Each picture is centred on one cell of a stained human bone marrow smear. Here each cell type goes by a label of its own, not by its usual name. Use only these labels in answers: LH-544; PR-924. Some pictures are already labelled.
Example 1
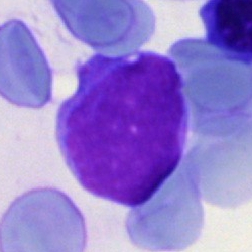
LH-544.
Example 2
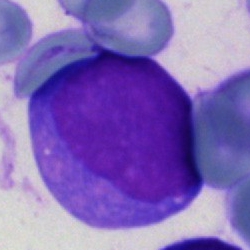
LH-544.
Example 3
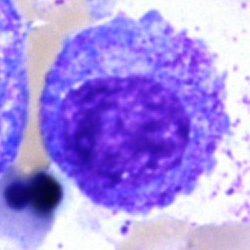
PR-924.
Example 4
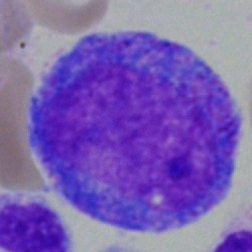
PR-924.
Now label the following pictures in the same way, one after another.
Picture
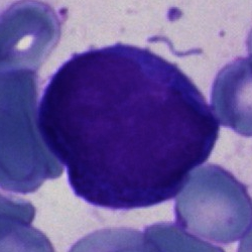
LH-544.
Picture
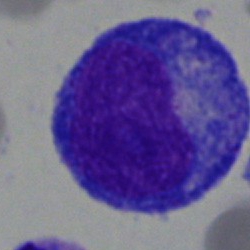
PR-924.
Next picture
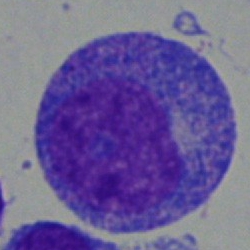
PR-924.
